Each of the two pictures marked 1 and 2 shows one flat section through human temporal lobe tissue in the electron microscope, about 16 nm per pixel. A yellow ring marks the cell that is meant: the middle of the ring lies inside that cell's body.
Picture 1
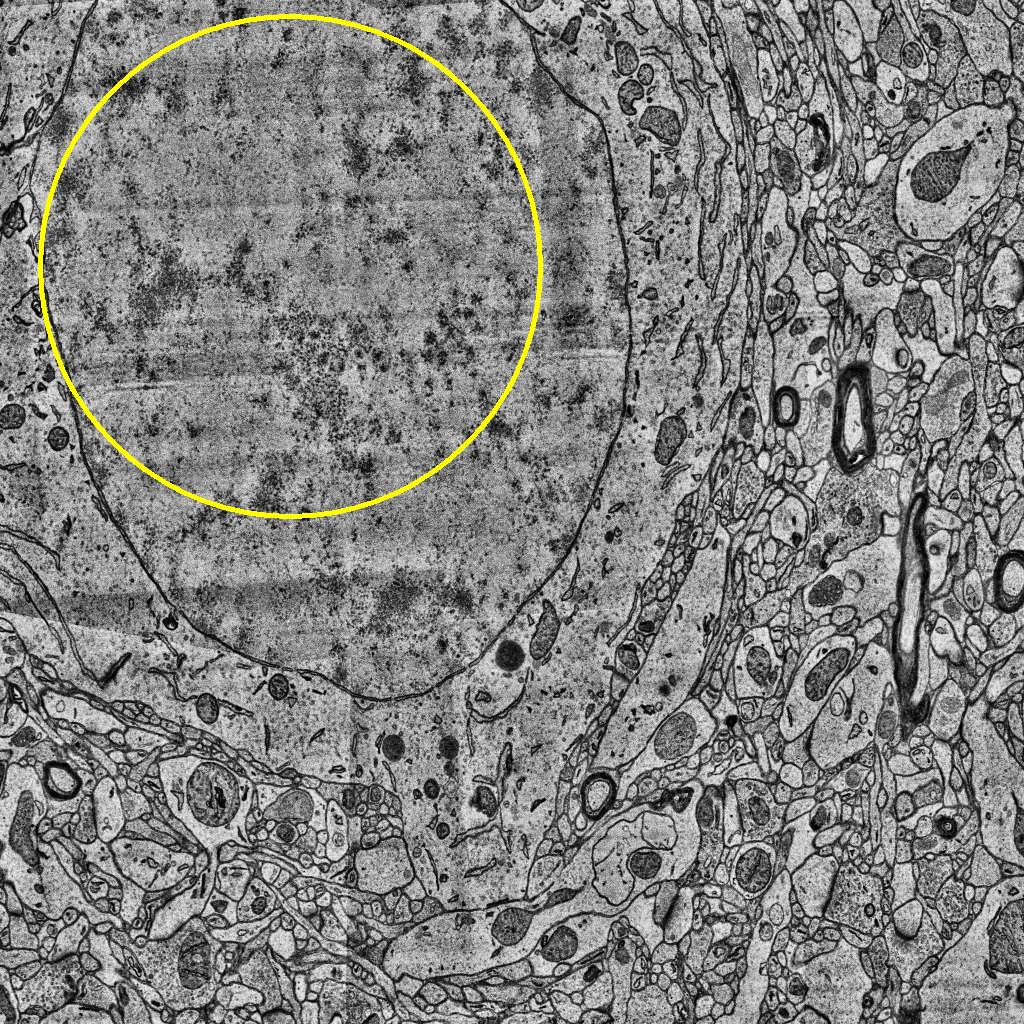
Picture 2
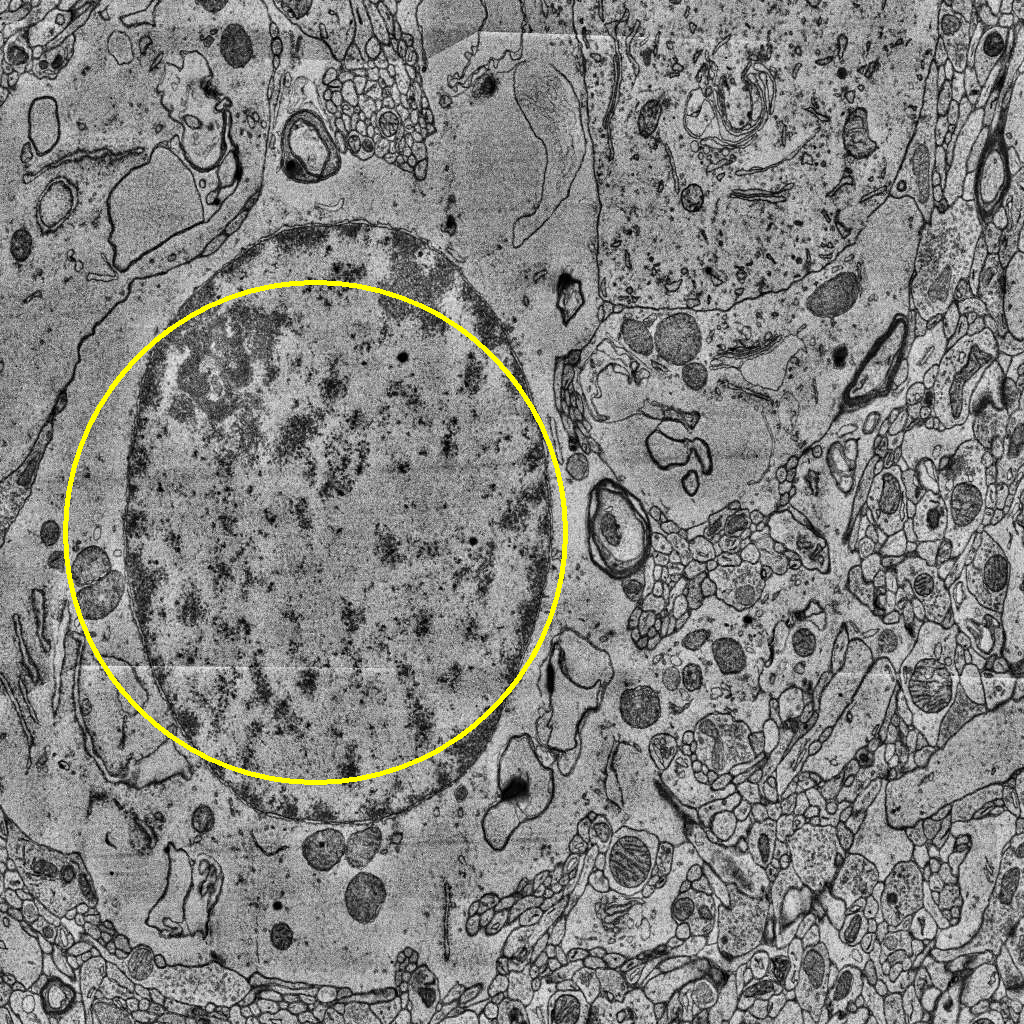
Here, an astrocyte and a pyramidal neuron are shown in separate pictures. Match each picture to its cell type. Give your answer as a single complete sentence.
Picture 2 shows an astrocyte, while picture 1 shows a pyramidal neuron.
